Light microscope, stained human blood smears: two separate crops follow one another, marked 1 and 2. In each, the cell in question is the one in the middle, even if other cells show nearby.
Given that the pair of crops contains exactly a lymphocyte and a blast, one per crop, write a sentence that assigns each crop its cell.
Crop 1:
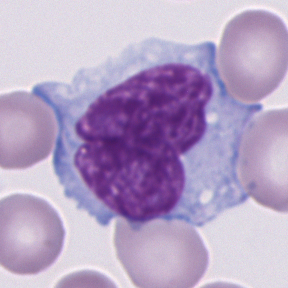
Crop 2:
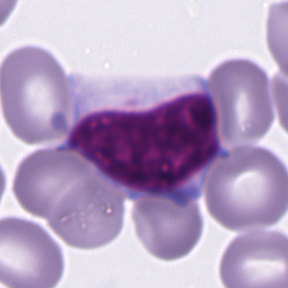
Here crop 1 is a blast, and crop 2 is a lymphocyte.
